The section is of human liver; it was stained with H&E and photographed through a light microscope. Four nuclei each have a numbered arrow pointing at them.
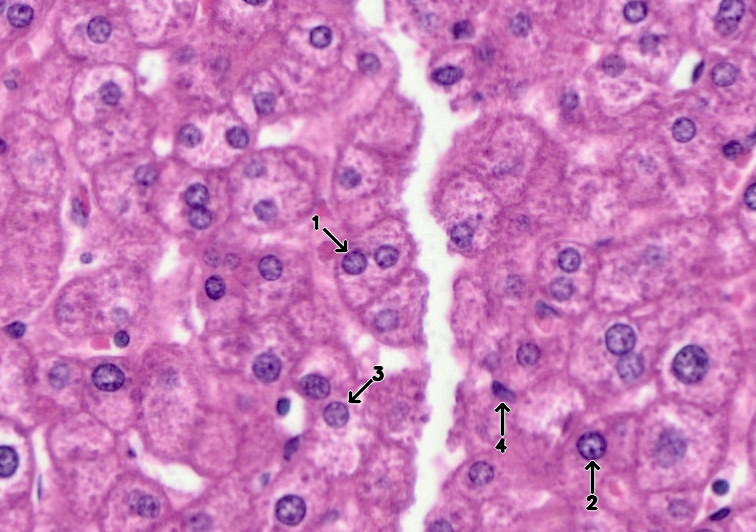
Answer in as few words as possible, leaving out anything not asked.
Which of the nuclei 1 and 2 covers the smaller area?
1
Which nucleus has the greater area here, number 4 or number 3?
3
